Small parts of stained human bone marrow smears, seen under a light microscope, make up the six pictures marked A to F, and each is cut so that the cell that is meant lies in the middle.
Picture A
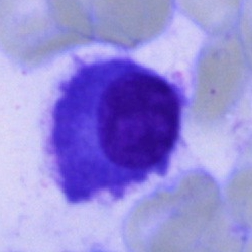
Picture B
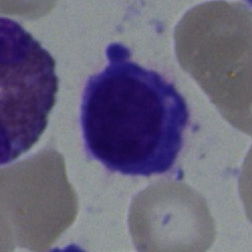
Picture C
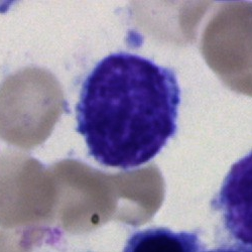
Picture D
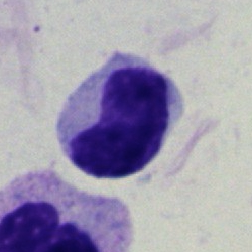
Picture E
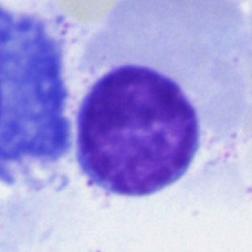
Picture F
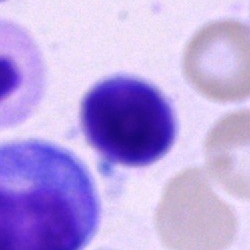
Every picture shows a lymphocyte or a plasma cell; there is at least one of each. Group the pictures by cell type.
A: plasma cell
B: plasma cell
C: lymphocyte
D: lymphocyte
E: lymphocyte
F: lymphocyte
